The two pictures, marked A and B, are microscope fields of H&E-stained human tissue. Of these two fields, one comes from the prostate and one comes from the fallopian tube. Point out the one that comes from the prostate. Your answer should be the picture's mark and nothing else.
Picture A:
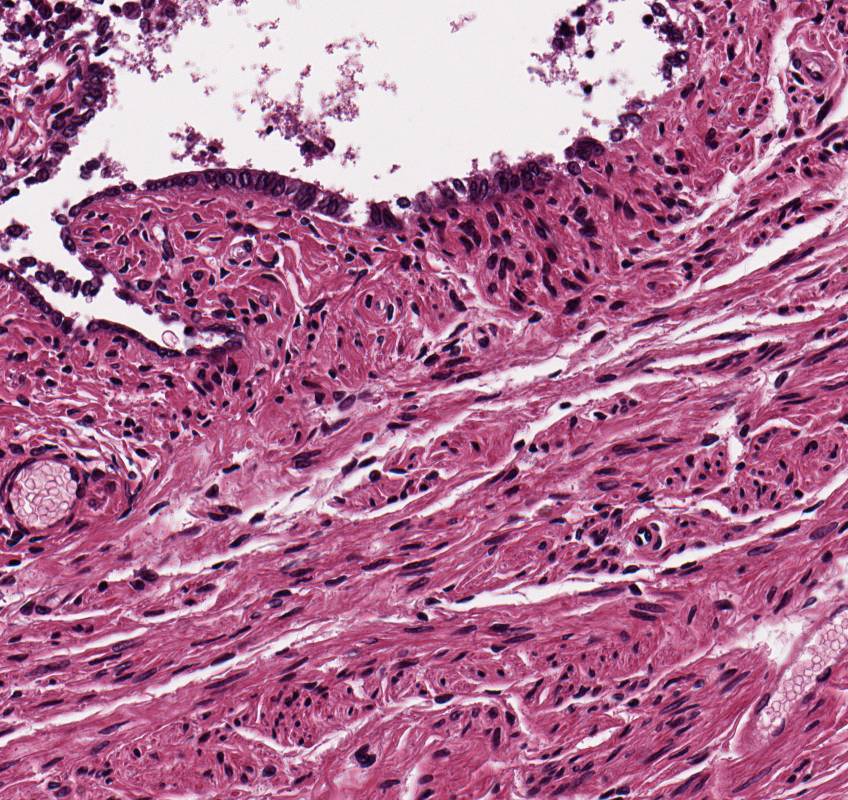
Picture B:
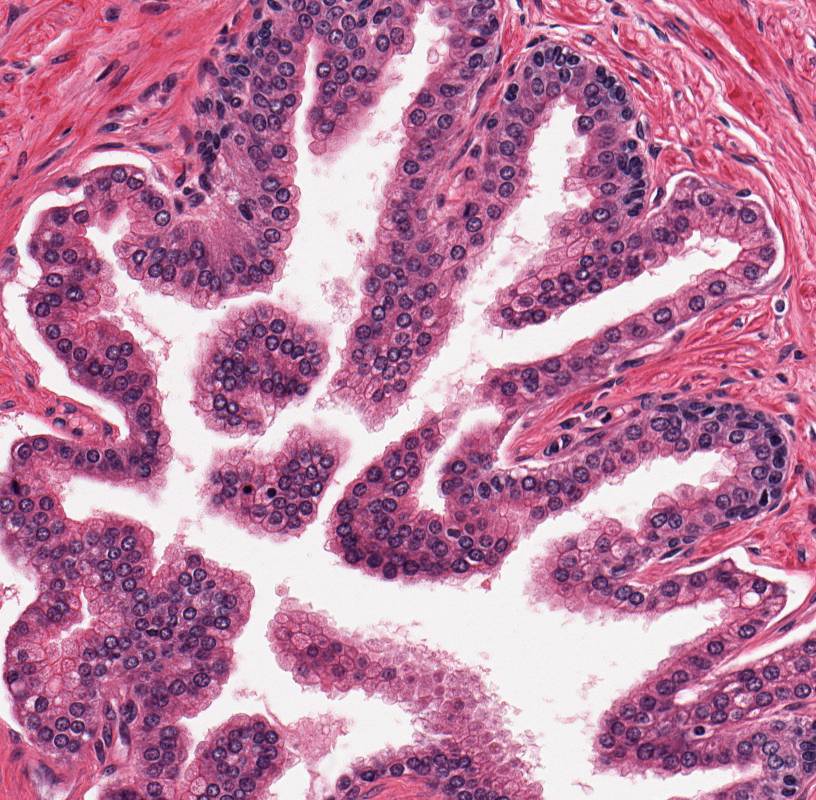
B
